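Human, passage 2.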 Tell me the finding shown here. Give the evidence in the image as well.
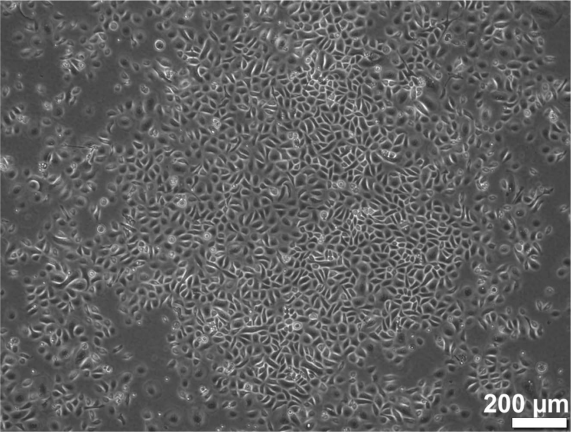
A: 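A dense, roughly round cluster of closely packed cells fills the centre. Cells thin out toward the edges, leaving open gaps around the cluster. The answer: colony formation.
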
